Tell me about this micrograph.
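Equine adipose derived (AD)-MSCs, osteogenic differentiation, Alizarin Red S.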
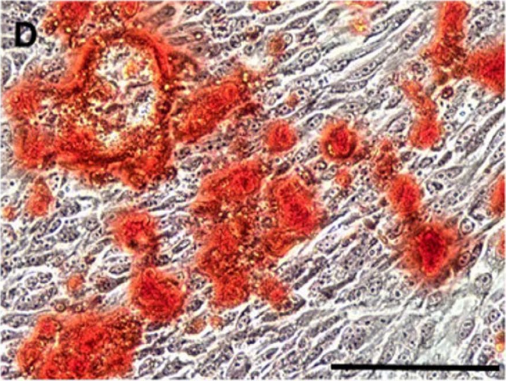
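The underlying cells are elongated and aligned in parallel, with pale cytoplasm and visible oval nuclei. On top of them lie irregular, nodular orange-red deposits, some rounded, one forming a ring with a pale centre. The deposits are extracellular and cover patches of the monolayer while other areas remain unstained.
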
